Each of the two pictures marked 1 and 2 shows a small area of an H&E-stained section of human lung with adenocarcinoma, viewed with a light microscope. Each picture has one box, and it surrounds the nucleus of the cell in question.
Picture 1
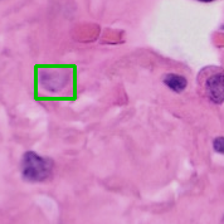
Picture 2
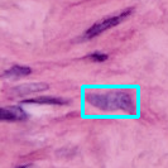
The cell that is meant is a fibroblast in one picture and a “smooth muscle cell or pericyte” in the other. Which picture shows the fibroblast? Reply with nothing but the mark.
1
